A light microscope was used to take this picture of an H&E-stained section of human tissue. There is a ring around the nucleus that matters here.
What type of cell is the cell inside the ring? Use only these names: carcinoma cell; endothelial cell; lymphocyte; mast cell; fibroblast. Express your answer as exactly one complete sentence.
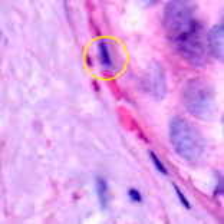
Considered by cell type, the cell inside the ring is an endothelial cell.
